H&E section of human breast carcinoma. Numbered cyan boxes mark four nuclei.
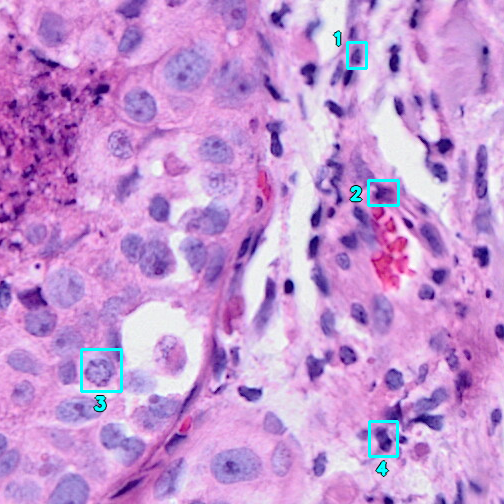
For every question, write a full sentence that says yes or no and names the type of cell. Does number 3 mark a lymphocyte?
No, number 3 is not a lymphocyte; it is a carcinoma cell.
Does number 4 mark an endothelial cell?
No, cell 4 represents a lymphocyte rather than an endothelial cell.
